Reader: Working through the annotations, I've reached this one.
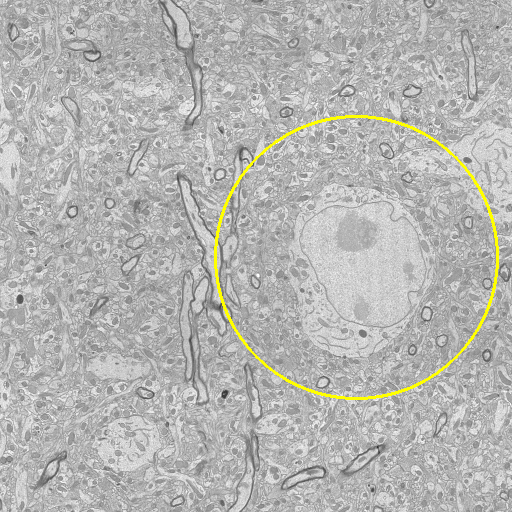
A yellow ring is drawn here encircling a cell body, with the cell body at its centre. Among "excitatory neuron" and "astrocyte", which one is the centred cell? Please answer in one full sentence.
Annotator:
The cell body at the centre of the yellow ring in this image belongs to an excitatory neuron.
